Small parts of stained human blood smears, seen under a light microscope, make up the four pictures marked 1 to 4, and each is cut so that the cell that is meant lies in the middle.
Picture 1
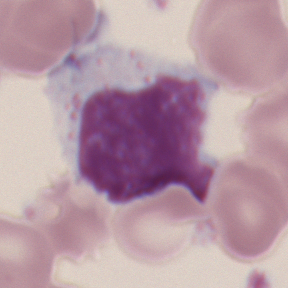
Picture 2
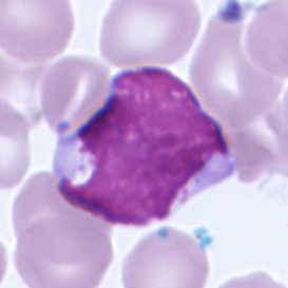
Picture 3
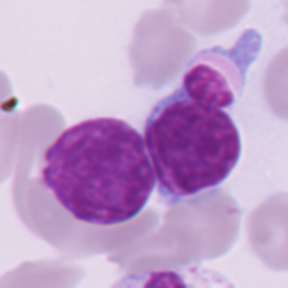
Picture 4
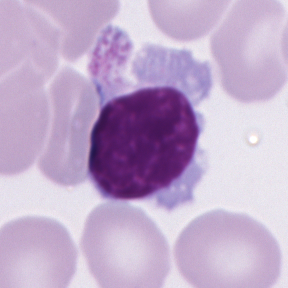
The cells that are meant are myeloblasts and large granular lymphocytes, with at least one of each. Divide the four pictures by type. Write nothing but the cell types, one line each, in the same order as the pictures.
large granular lymphocyte
large granular lymphocyte
myeloblast
large granular lymphocyte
